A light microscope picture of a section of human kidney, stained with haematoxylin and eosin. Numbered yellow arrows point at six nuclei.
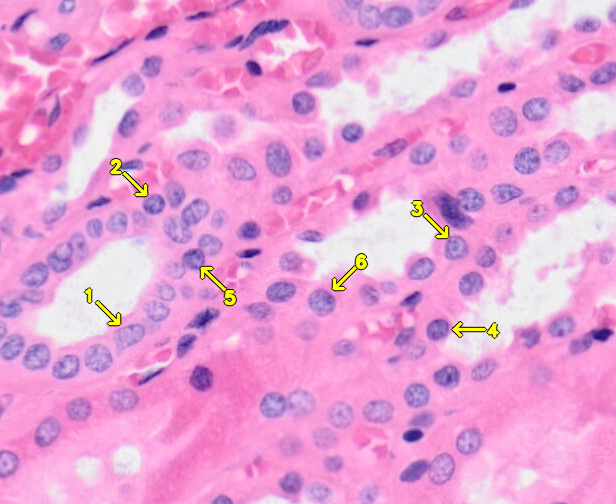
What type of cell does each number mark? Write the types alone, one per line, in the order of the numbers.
collecting duct cell
collecting duct cell
loop of Henle or distal tubule cell
loop of Henle or distal tubule cell
collecting duct cell
loop of Henle or distal tubule cell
